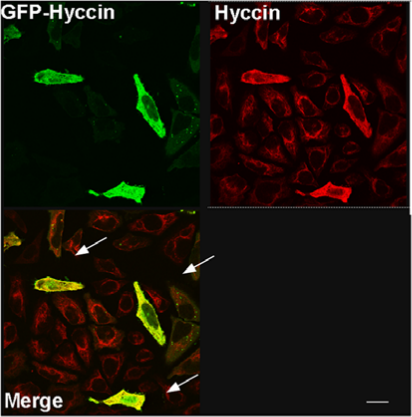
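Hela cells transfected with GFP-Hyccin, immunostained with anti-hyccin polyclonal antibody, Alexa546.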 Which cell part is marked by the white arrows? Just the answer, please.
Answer: Cytosol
